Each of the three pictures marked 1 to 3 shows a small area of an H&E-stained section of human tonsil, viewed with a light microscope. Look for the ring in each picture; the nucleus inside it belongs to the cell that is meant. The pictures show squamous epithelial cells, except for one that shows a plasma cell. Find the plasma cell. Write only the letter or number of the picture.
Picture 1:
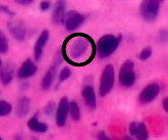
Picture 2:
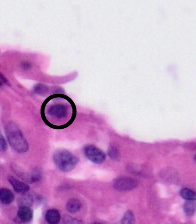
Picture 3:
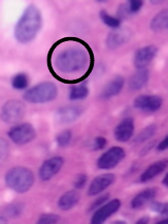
2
